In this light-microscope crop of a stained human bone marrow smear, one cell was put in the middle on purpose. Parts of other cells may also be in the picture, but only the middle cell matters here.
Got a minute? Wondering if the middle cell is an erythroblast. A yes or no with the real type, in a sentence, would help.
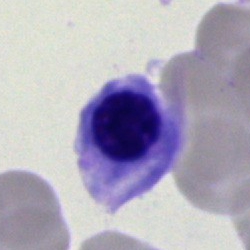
Yes, the cell in the middle is rightly called an erythroblast.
